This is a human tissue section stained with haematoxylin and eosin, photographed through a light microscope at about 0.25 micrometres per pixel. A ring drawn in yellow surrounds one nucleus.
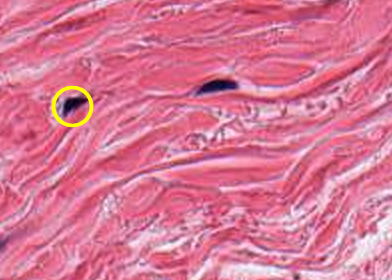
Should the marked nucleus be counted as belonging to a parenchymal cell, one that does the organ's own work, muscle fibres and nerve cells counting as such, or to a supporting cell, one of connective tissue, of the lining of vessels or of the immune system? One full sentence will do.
Designated as that of a supporting cell is the marked nucleus.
